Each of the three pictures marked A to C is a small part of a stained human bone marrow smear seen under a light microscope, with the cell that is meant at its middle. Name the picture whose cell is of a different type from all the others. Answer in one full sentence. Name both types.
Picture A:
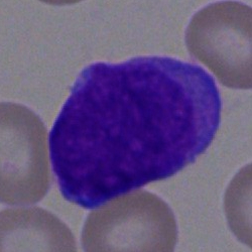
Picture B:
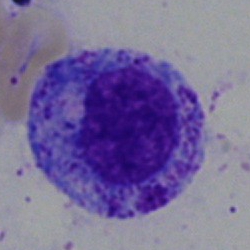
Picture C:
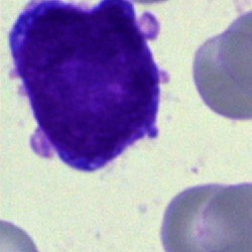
The others show blasts, but picture B shows a myelocyte.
